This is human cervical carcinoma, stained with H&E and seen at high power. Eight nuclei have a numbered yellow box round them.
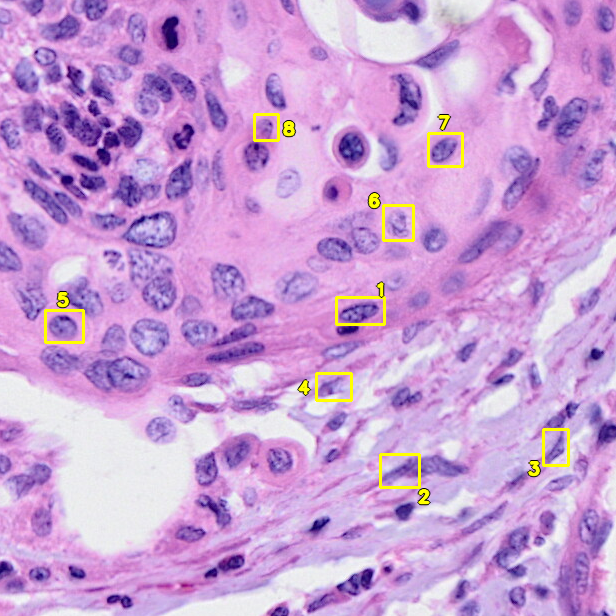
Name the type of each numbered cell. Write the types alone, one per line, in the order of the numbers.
squamous carcinoma cell
fibroblast
fibroblast
fibroblast
squamous carcinoma cell
squamous carcinoma cell
squamous carcinoma cell
squamous carcinoma cell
